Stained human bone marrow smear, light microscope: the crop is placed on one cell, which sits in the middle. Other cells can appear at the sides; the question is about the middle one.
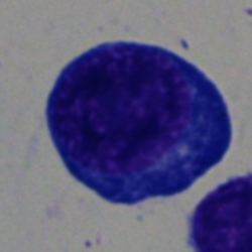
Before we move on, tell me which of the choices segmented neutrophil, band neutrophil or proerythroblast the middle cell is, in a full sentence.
Framed in the middle of the crop is a proerythroblast.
